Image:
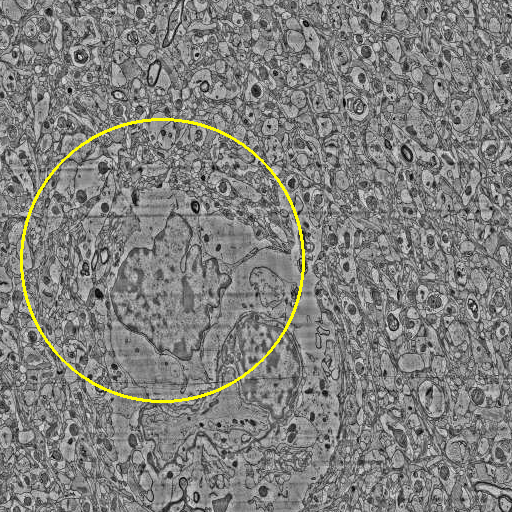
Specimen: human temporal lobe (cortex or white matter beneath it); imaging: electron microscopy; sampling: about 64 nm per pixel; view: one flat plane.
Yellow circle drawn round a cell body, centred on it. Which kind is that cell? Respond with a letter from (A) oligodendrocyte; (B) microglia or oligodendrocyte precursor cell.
B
